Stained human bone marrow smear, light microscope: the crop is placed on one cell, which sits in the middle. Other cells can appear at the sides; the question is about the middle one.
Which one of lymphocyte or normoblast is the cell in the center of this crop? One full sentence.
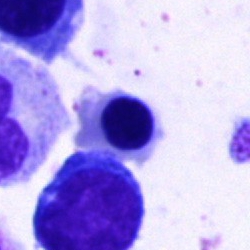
In the center of this field lies a normoblast.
